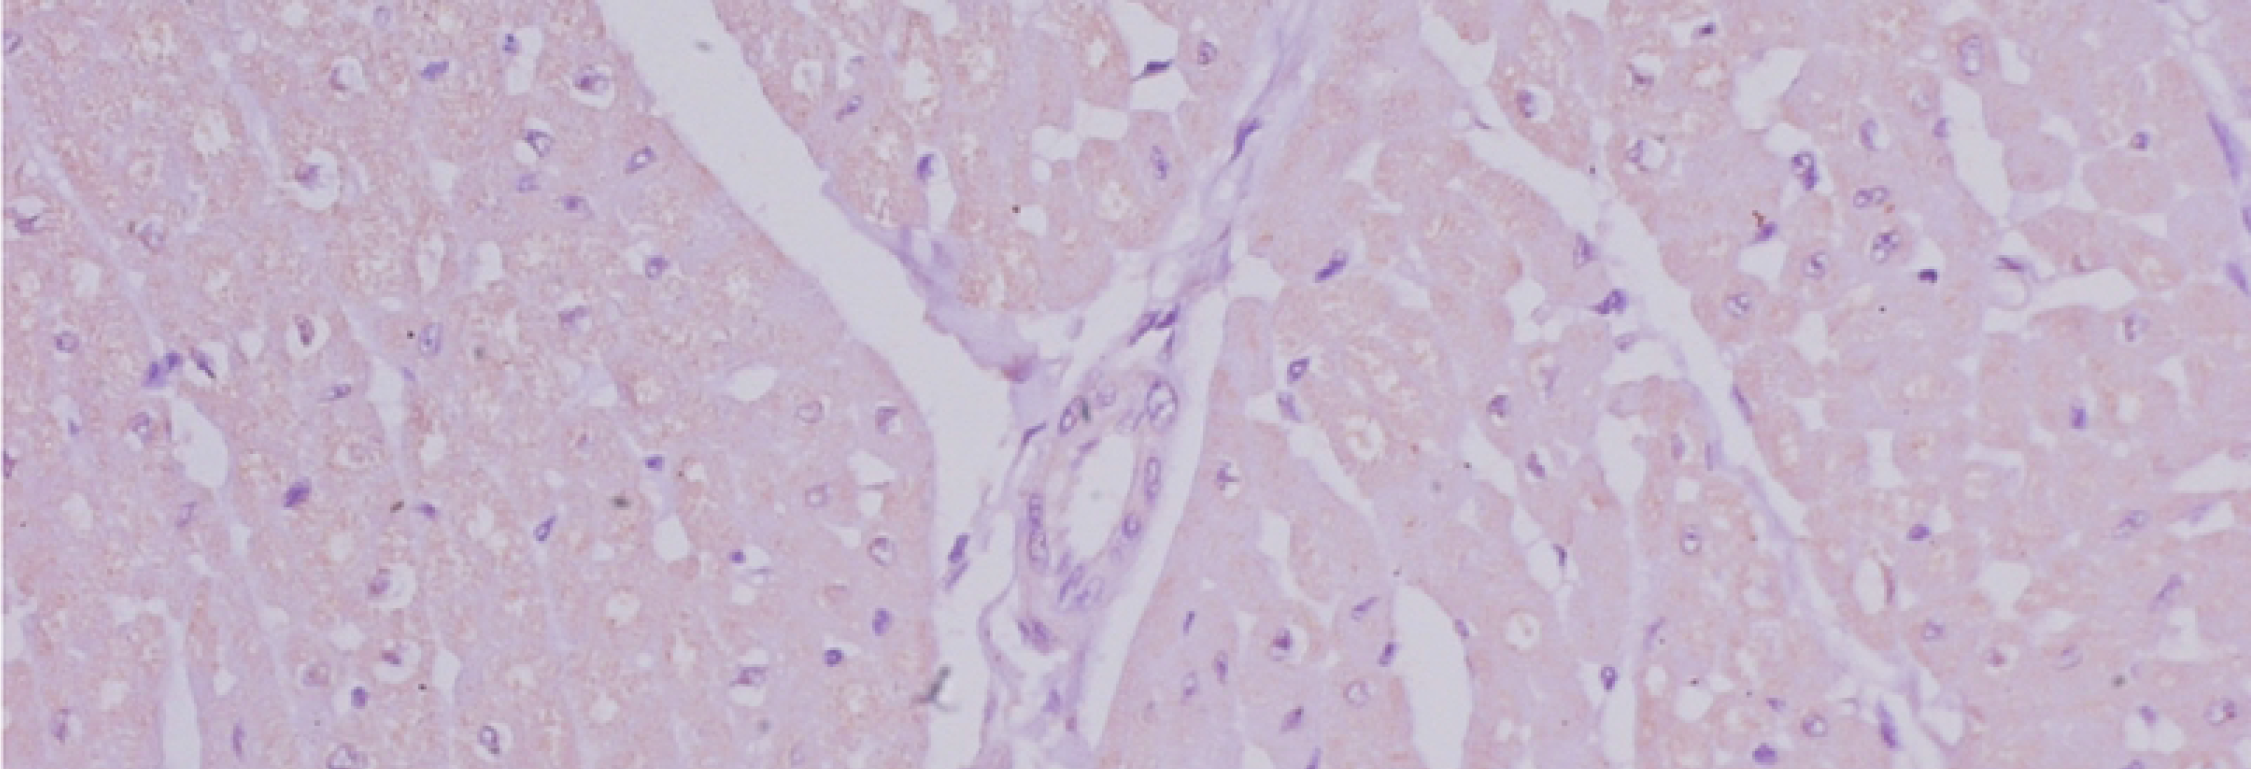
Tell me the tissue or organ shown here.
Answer: myocardium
